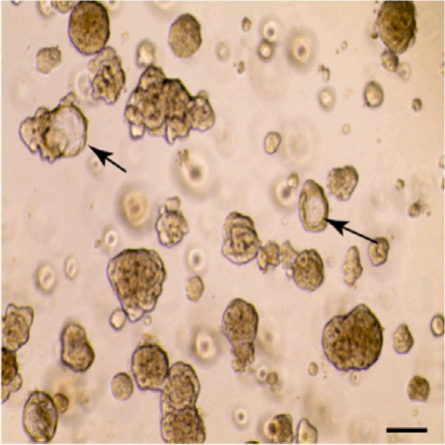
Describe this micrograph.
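This is a three-dimensional culture of organoids seen in bright field, mixing hollow cystic organoids with solid ones. Most structures are compact, rounded or lobulated clusters of densely packed cells that look brownish and granular throughout, some with budding or irregular outlines. A few structures differ: they have a thin, translucent wall of cells surrounding a pale, clear central space, giving a cyst-like appearance. These cystic forms are round to oval and roughly the size of the smaller solid clusters. Scattered between them lie many small, single round bodies with bright halos, which look like single cells or debris suspended in the surrounding matrix.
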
